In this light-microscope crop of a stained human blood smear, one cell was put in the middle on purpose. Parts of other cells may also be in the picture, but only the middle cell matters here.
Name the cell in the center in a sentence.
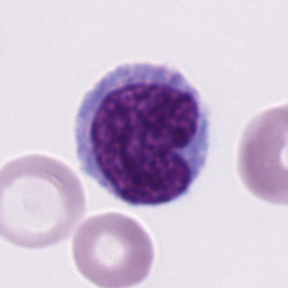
The cell at the heart of this crop is a monocyte.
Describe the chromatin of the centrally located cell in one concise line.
The chromatin pattern here is coarse and clumped.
